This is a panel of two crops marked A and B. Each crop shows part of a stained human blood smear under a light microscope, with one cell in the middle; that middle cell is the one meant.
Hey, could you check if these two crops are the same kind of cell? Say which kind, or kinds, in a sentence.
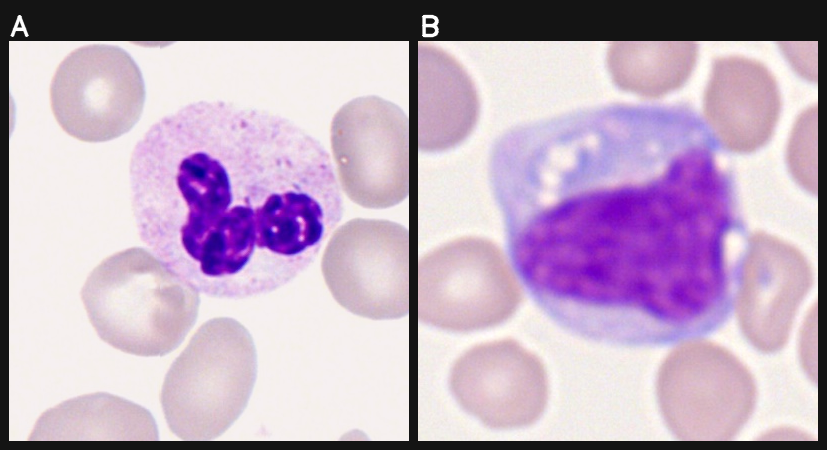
No, the cell centred in crop A is a neutrophil, and that centred in crop B is a monocyte.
